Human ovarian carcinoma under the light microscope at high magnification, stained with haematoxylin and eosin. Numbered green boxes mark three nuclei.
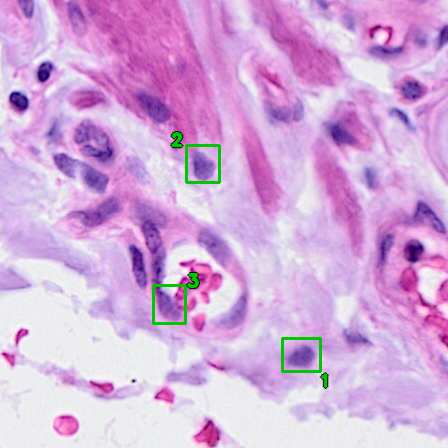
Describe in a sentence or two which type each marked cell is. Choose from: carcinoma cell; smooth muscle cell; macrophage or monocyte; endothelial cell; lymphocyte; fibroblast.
Cell 1 is a fibroblast, cell 2 is a fibroblast and cell 3 is an endothelial cell.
